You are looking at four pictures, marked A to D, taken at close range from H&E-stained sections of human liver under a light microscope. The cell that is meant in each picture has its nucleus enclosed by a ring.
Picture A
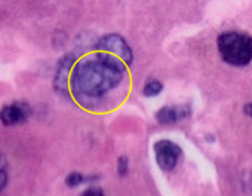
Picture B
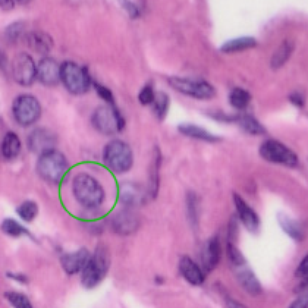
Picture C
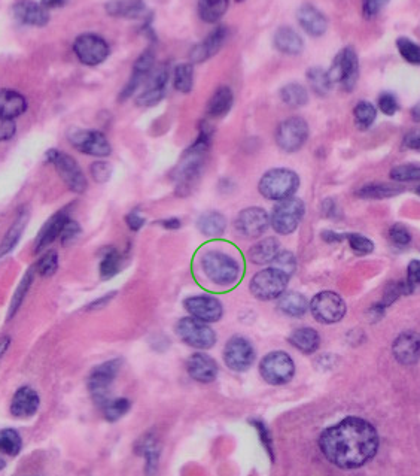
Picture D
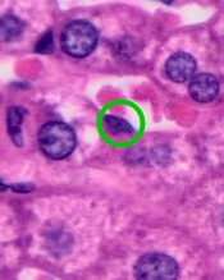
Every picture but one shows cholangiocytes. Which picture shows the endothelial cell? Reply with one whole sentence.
It is picture D that shows the endothelial cell.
